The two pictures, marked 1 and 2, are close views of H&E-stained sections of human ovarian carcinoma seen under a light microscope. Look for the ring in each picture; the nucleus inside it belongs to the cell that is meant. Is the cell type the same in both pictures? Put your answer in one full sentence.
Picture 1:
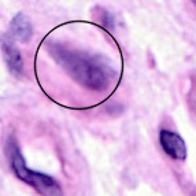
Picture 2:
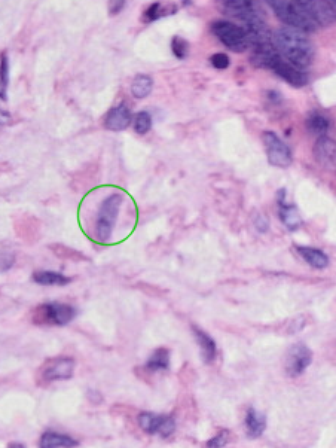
No, the types are not the same, since picture 1 shows an endothelial cell and picture 2 a fibroblast.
